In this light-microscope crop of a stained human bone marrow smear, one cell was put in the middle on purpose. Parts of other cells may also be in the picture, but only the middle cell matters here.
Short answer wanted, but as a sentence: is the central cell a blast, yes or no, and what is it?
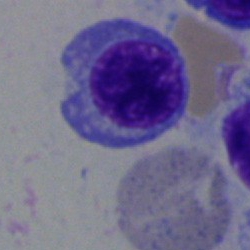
No, the cell centered in the crop is an erythroblast, not a blast.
